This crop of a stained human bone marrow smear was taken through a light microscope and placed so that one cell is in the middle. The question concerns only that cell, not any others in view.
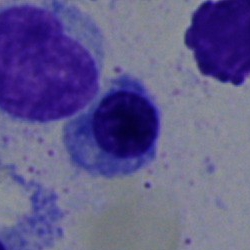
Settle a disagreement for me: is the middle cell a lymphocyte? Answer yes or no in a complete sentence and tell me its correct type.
No, the cell in the middle is recognised as an erythroblast rather than a lymphocyte.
